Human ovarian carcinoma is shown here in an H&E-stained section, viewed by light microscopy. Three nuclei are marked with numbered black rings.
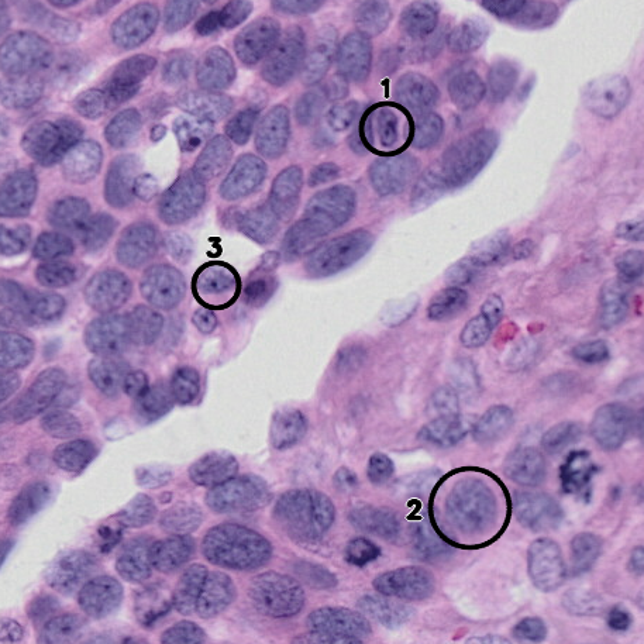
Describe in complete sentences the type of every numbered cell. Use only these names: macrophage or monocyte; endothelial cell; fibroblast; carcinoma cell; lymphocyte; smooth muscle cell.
Cells 1 and 3 are macrophages or monocytes. Cell 2 is a carcinoma cell.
